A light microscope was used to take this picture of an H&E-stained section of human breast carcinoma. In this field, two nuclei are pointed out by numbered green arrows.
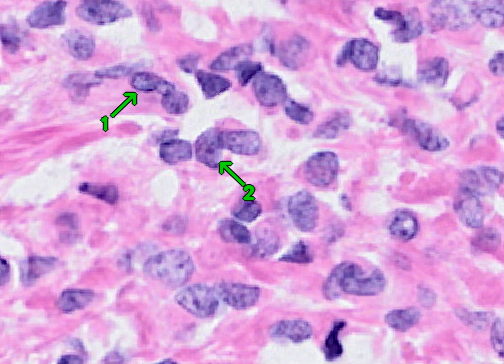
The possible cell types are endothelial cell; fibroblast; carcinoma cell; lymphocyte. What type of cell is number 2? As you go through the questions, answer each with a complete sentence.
The nucleus with number 2 is that of a carcinoma cell.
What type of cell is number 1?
Belonging to an endothelial cell is the nucleus that carries the number 1.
